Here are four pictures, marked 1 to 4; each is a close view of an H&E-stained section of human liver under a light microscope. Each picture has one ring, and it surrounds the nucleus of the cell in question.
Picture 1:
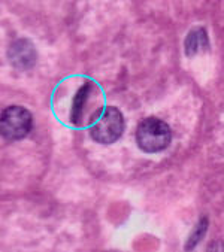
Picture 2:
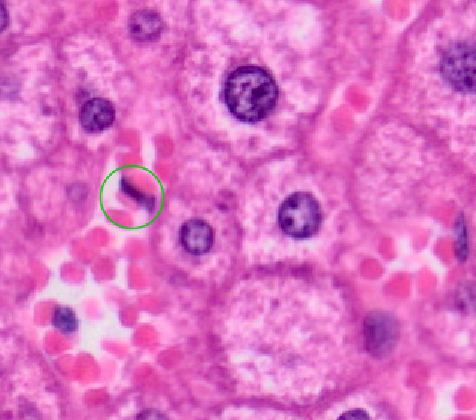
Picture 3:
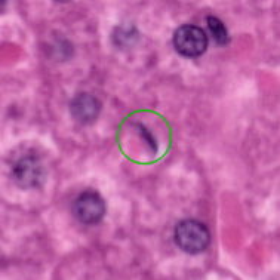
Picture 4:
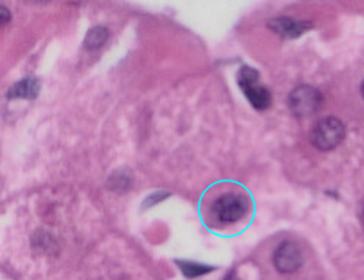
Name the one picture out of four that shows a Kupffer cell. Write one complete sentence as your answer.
Picture 4 is the one that shows the Kupffer cell.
